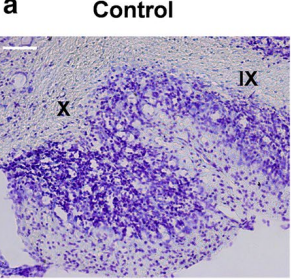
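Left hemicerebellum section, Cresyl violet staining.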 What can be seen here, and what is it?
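Much of the tissue is a dense band of small, round, dark violet nuclei packed closely together, which is the granular layer. Beside it lie paler regions with far fewer nuclei scattered through a lightly stained background.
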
